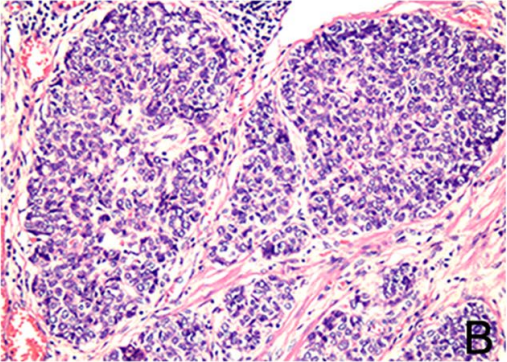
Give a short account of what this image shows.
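This tumor grows as large rounded solid nests of closely packed epithelial cells. The cells have round to oval dark nuclei and scant to moderate pale purple cytoplasm, with only occasional small lumens. The nests are separated by thin bands of pink fibrous stroma, with scattered inflammatory cells at the top edge.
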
